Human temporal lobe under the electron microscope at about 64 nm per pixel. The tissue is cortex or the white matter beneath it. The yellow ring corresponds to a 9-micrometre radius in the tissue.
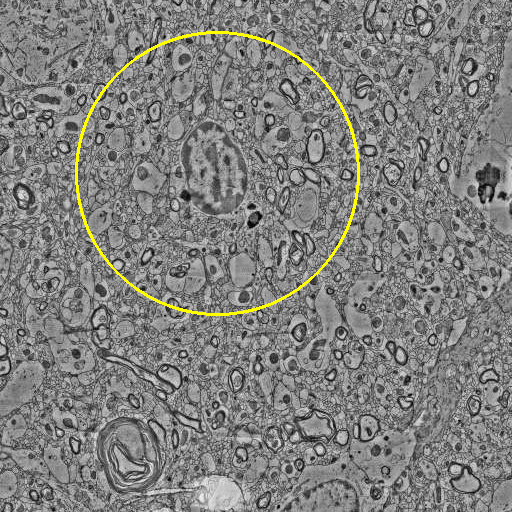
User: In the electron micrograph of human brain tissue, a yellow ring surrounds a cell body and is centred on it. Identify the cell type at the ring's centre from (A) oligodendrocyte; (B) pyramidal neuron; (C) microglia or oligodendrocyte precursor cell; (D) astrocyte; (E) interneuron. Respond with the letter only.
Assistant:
C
